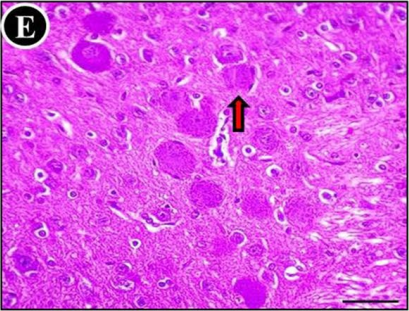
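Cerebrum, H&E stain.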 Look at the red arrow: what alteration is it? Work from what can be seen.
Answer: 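These cells lack a clear nucleus with a distinct nucleolus. The answer: neuronal degeneration.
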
